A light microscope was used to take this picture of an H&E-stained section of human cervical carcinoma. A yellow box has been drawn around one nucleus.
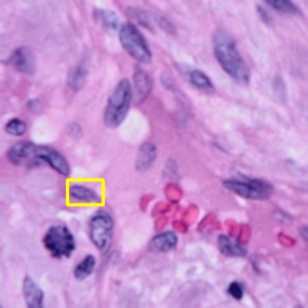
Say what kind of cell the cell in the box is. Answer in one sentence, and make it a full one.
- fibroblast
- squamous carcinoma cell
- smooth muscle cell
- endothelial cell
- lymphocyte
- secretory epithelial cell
In this section of tissue, the cell in the box is an endothelial cell.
